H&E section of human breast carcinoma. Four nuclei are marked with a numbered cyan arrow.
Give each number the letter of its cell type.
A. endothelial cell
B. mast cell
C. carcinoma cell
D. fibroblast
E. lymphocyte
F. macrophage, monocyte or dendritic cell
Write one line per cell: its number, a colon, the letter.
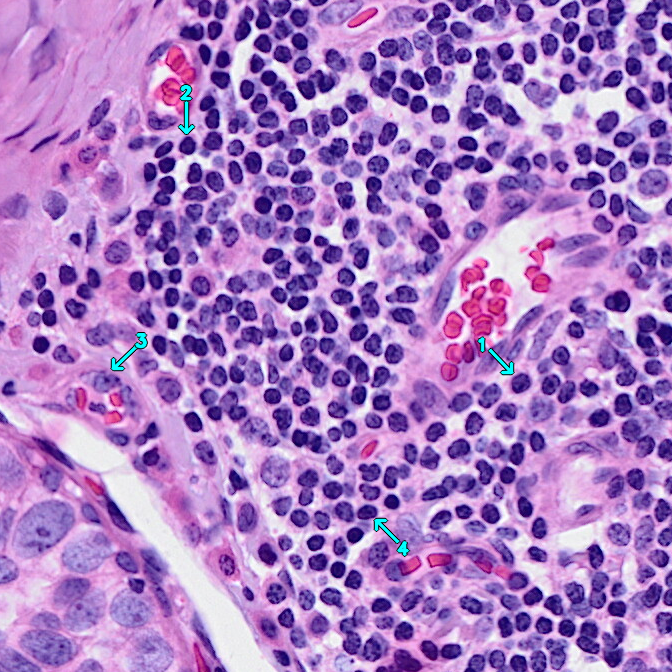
1: E
2: E
3: A
4: E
